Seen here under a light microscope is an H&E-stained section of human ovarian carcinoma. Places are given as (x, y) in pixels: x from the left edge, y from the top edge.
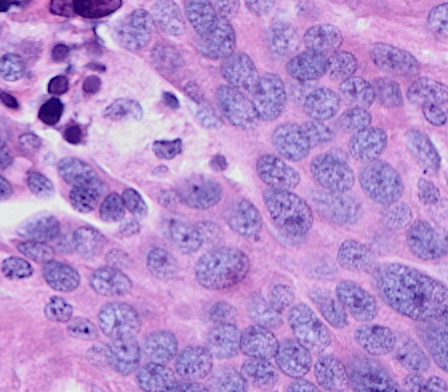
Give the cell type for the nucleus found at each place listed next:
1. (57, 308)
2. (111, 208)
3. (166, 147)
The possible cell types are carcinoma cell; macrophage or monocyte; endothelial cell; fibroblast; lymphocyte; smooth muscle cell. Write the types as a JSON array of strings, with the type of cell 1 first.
["macrophage or monocyte", "carcinoma cell", "macrophage or monocyte"]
